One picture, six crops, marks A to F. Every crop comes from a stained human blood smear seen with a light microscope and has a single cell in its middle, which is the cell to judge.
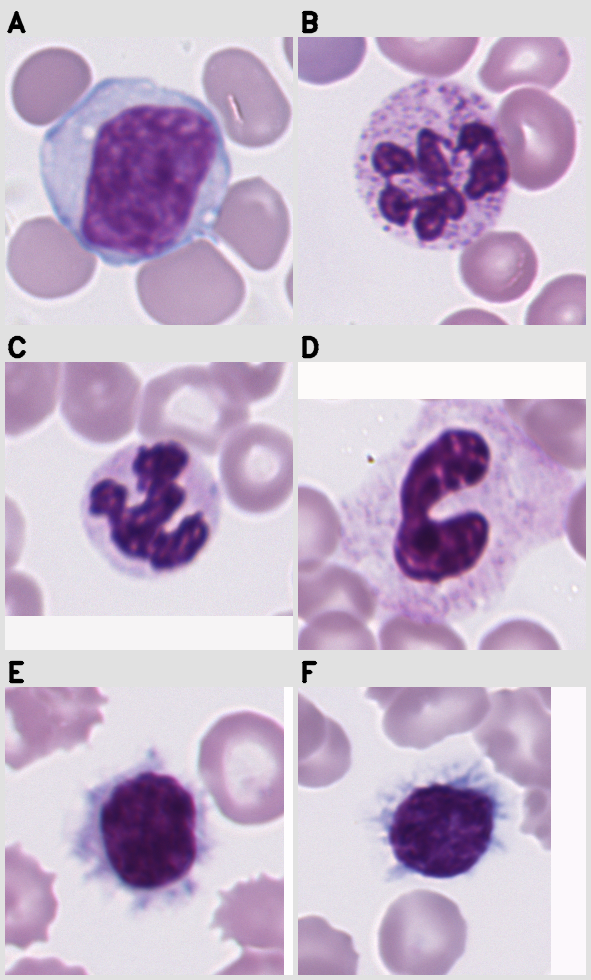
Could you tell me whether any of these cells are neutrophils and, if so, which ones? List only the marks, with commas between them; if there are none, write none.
B, C, D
